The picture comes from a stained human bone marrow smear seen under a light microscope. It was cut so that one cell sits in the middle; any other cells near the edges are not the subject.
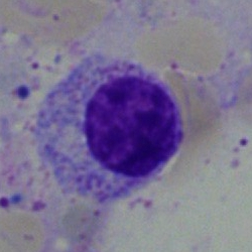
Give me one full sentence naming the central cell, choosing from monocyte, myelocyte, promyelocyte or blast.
Seen at the centre of the crop is a myelocyte.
